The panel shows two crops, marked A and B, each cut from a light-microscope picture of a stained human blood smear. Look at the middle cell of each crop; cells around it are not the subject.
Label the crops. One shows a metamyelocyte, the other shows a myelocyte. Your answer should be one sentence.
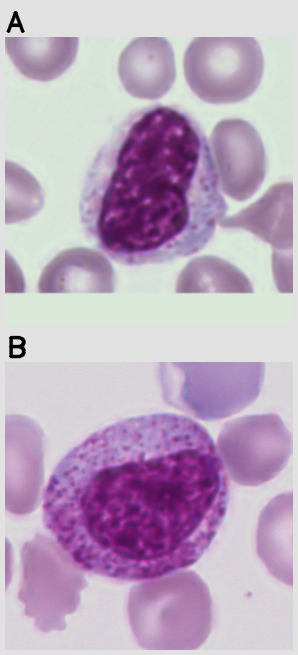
In crop B the central cell is a myelocyte, and in crop A it is a metamyelocyte.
